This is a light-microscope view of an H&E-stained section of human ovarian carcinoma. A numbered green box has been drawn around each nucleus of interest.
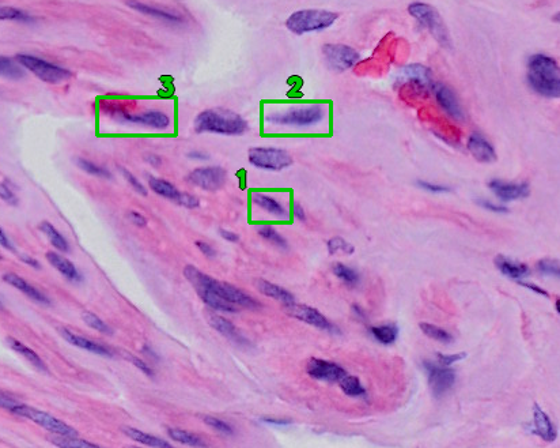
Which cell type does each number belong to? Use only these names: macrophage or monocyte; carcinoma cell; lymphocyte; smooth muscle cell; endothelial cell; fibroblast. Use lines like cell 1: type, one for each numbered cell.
cell 1: smooth muscle cell
cell 2: fibroblast
cell 3: endothelial cell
